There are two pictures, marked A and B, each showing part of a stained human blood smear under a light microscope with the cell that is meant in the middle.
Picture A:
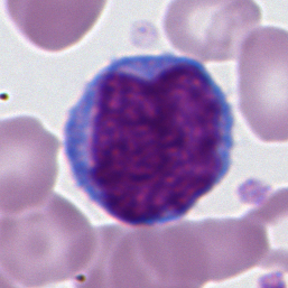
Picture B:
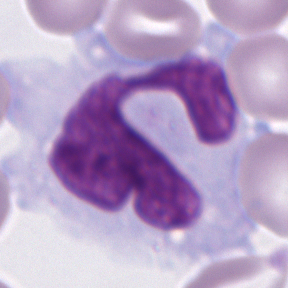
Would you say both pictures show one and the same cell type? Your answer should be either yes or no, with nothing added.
yes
